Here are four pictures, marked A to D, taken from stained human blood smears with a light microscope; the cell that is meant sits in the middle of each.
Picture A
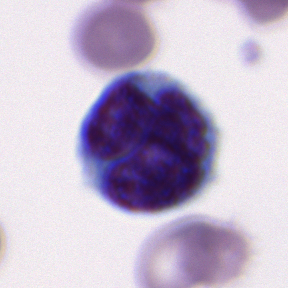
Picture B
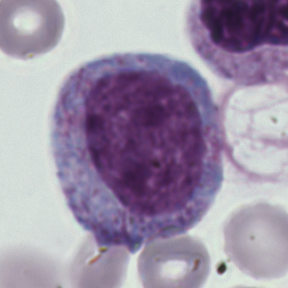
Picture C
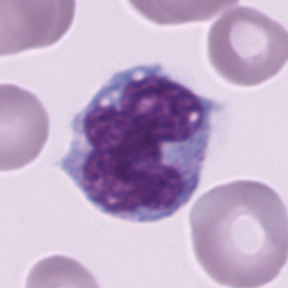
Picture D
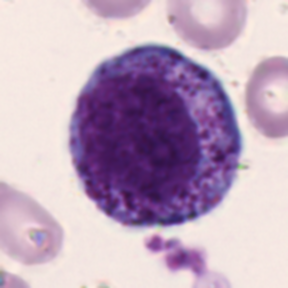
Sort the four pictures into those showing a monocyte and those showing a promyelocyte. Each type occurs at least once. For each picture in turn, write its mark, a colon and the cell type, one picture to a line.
A: monocyte
B: promyelocyte
C: monocyte
D: promyelocyte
